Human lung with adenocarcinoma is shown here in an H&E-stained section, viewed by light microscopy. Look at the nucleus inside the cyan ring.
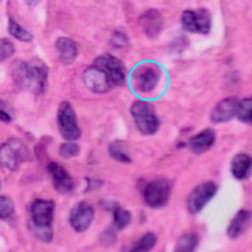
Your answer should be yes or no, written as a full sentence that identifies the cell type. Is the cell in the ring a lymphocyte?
Yes, it is a lymphocyte that the cell in the ring represents in this section.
